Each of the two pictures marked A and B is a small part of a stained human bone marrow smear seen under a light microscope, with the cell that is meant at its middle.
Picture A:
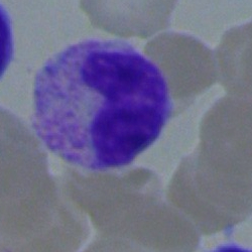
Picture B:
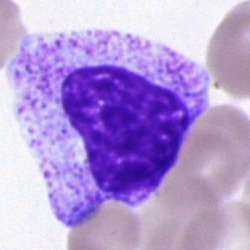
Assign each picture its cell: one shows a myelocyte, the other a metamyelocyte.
A: metamyelocyte
B: myelocyte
